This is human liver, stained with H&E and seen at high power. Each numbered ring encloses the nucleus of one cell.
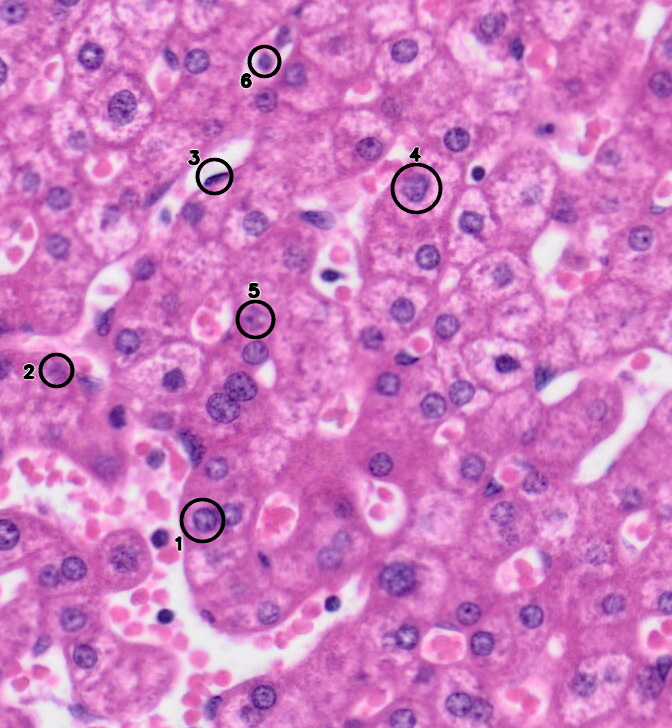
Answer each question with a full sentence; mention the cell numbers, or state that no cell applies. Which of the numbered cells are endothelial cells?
Cell number 3 alone is an endothelial cell; the rest are not.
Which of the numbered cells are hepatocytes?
So, the cells with numbers 1, 2, 4 and 5 are hepatocytes.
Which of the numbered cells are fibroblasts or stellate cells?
Any fibroblasts or stellate cells present in the section are not among the numbered cells.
